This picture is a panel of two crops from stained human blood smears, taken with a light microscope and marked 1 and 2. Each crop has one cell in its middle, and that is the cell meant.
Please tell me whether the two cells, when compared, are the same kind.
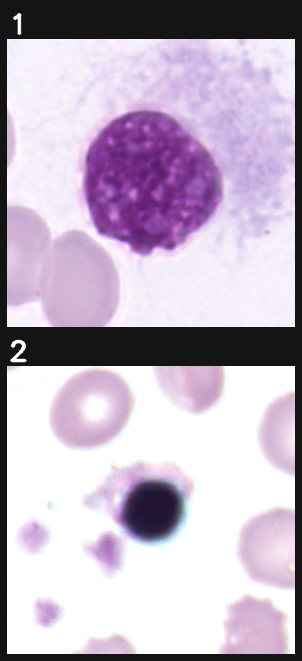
no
